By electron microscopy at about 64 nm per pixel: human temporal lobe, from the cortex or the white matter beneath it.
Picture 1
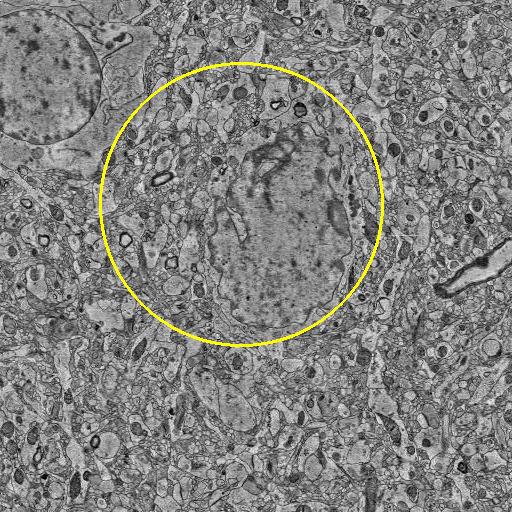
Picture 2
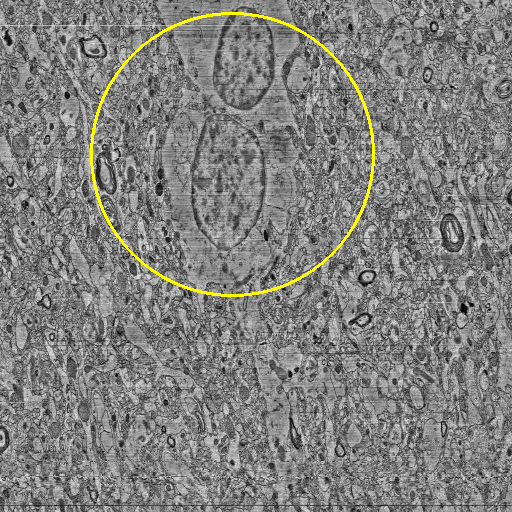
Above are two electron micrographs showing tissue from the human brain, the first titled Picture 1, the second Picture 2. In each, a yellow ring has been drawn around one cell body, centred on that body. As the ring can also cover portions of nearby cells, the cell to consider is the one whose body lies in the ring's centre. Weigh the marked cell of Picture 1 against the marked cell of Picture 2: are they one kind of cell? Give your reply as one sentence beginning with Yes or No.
No, the two cells sitting at the ring centres in the pictures are of two kinds.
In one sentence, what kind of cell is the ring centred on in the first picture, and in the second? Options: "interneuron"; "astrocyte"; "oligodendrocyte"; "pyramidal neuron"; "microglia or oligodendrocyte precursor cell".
The cell at the centre of the second ring is an astrocyte; the first ring's cell is an interneuron.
